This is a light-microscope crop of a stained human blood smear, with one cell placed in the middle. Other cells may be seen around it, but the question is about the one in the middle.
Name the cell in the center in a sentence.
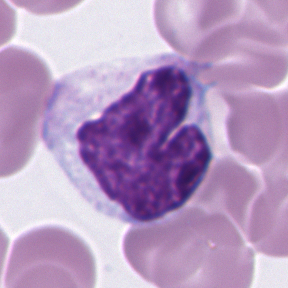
The cell at the middle of the crop is recognized as a band neutrophil.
